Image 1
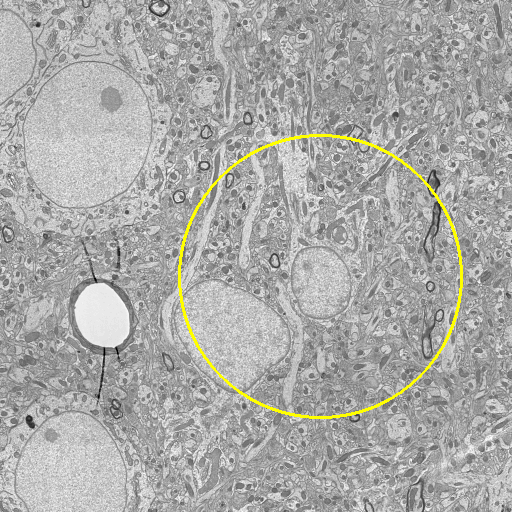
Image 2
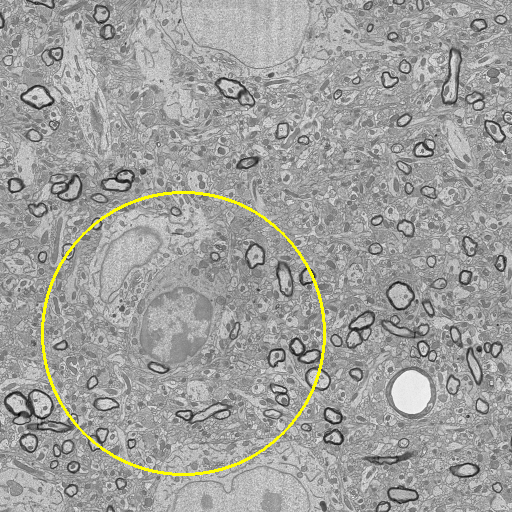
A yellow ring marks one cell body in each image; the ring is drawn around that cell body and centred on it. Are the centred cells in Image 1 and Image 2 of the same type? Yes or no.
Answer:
no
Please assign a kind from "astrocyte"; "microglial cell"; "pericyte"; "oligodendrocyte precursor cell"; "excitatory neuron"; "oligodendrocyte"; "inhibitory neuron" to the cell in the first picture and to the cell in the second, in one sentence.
In the first picture we have an astrocyte, and in the second, an oligodendrocyte.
